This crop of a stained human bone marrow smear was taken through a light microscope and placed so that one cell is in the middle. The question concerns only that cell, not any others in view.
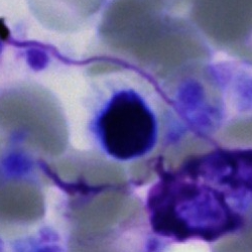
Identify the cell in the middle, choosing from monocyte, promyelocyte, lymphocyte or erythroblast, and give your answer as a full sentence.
The middle cell in this particular crop is a lymphocyte.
